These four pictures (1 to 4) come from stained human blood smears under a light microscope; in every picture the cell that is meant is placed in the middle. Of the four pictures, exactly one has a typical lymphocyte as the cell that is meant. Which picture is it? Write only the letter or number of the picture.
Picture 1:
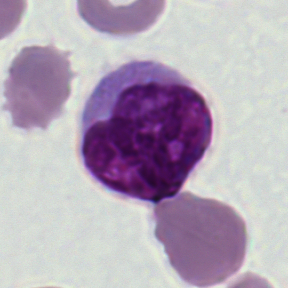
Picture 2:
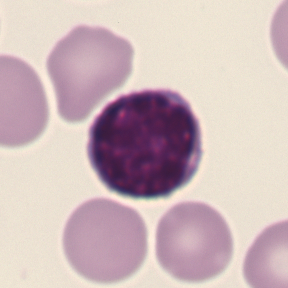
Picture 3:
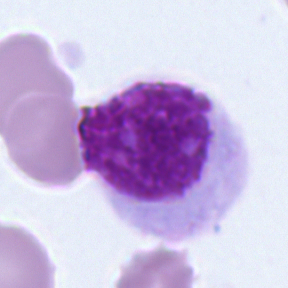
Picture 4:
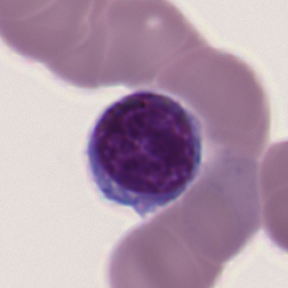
2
